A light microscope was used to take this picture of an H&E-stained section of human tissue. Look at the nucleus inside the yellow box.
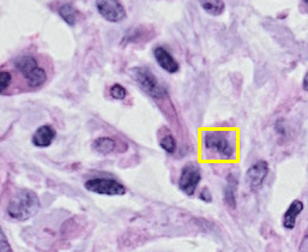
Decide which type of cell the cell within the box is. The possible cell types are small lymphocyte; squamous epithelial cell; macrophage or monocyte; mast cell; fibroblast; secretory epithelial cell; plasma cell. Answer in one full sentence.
In the tissue under study, the cell within the box is a macrophage or monocyte.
